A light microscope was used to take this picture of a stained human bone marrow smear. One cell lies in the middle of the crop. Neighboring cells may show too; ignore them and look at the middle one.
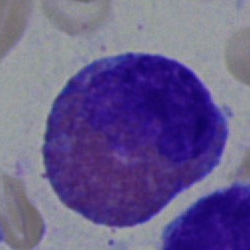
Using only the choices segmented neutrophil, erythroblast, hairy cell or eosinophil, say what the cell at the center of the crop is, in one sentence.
Here the cell in the middle is an eosinophil.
